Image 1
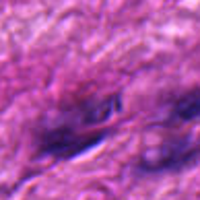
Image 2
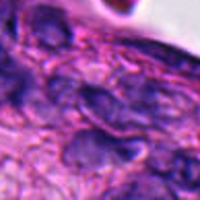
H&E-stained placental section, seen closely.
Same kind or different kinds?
Same: vascular myocytes.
